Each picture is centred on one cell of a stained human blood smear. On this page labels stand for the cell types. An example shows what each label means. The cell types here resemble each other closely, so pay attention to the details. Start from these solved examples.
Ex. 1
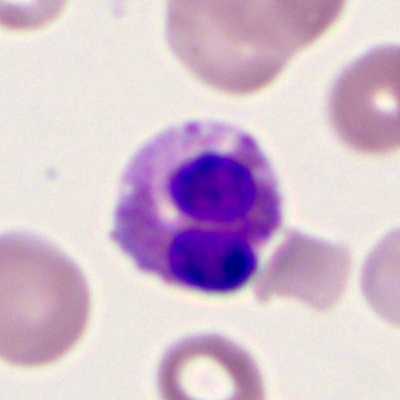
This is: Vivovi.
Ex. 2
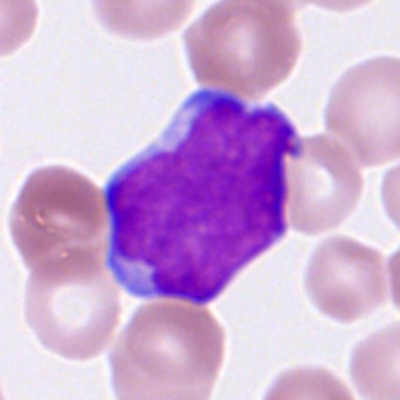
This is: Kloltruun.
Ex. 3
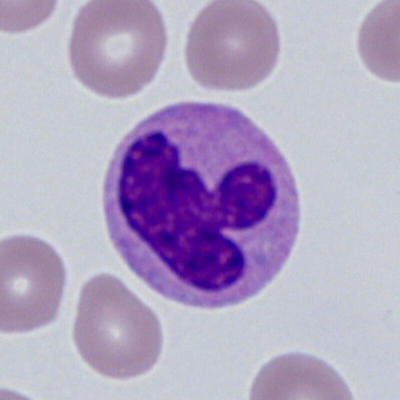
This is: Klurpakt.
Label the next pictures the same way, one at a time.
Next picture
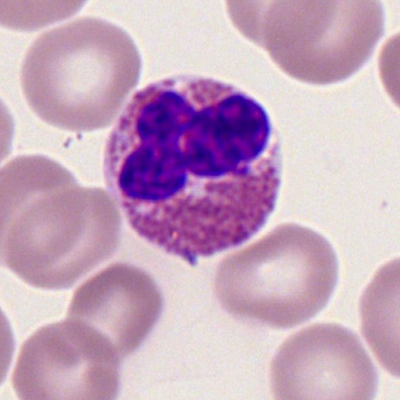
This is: Vivovi.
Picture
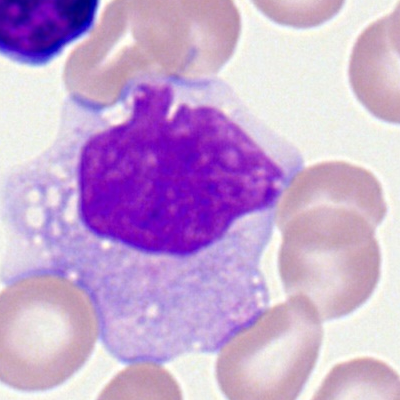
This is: Klurpakt.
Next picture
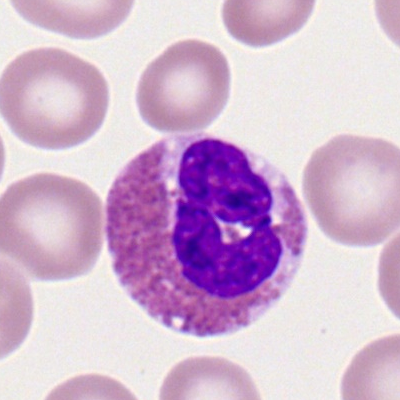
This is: Vivovi.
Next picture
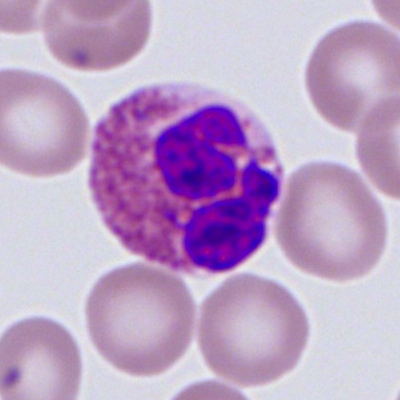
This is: Vivovi.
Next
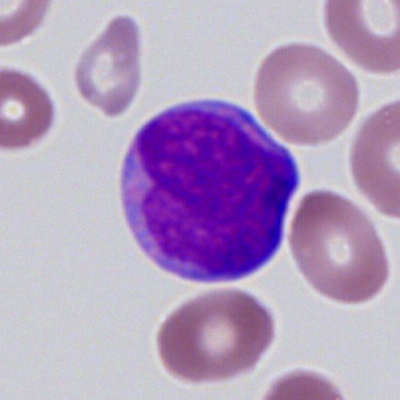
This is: Kloltruun.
